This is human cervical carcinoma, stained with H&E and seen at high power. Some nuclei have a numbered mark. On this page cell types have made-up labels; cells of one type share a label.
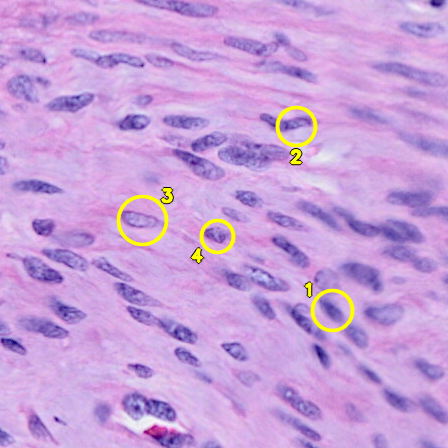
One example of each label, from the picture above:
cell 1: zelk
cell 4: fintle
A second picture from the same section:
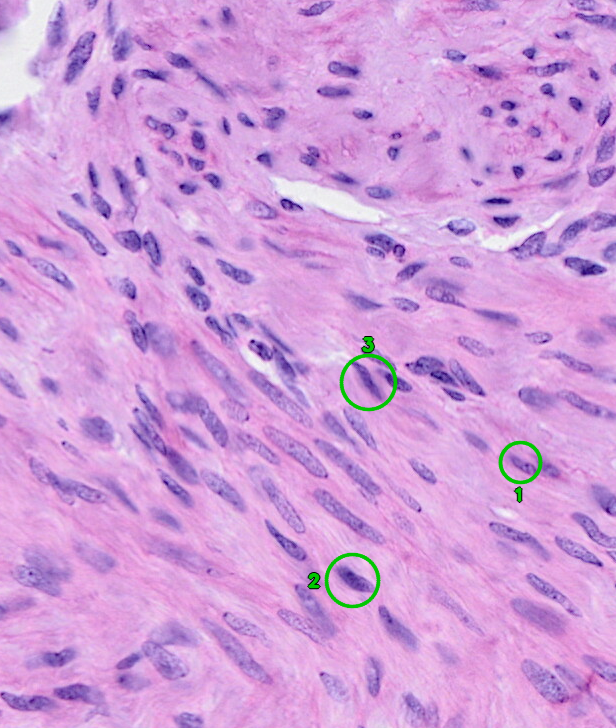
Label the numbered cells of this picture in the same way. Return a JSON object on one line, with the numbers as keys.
{"1": "fintle", "2": "zelk", "3": "zelk"}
